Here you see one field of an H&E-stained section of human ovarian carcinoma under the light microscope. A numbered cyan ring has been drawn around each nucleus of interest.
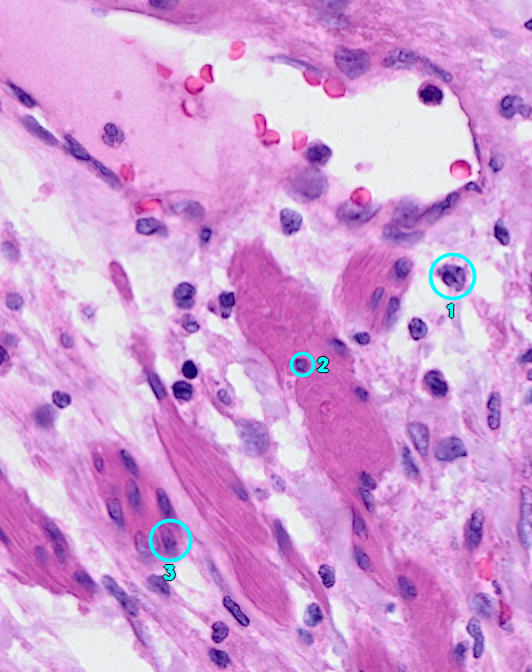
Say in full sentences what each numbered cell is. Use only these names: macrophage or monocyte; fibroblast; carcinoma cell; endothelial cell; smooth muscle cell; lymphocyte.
Cell 1 is a macrophage or monocyte. Cells 2 and 3 are smooth muscle cells.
